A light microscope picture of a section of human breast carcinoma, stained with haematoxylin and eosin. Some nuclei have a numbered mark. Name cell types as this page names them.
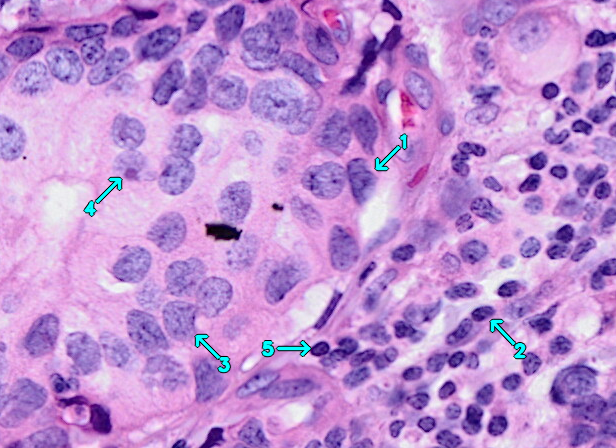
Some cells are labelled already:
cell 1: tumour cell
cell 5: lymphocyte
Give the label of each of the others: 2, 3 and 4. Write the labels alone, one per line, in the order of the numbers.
lymphocyte
tumour cell
tumour cell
